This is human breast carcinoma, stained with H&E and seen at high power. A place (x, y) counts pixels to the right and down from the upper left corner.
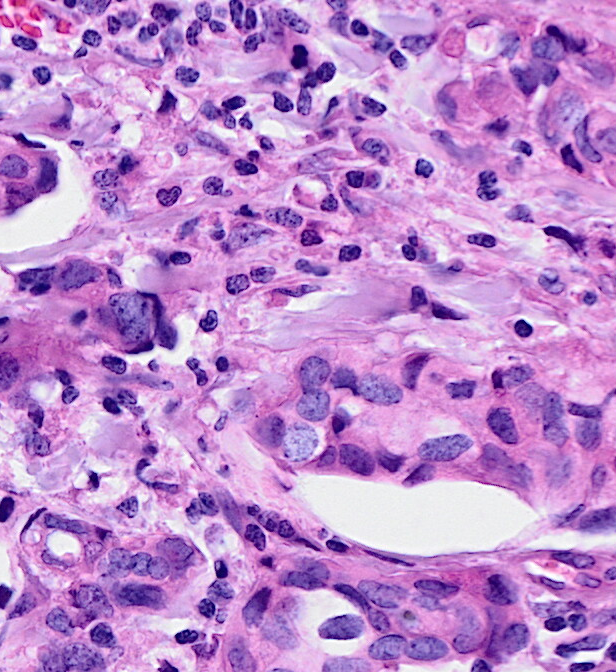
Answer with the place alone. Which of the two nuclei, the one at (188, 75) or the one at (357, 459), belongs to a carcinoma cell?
(357, 459)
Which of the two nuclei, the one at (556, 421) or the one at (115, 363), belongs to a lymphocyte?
(115, 363)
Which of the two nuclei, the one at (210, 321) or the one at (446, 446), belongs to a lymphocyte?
(210, 321)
